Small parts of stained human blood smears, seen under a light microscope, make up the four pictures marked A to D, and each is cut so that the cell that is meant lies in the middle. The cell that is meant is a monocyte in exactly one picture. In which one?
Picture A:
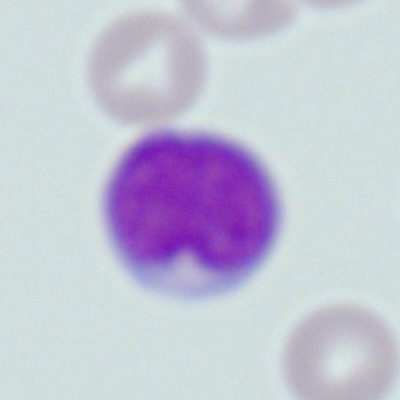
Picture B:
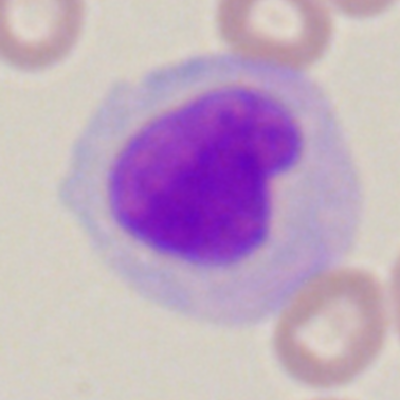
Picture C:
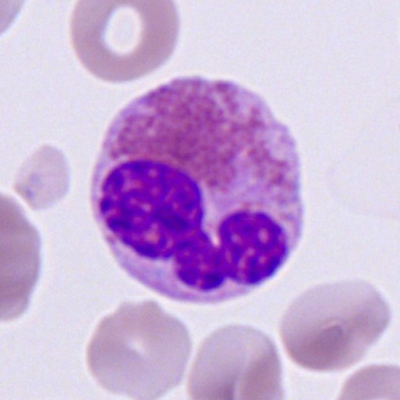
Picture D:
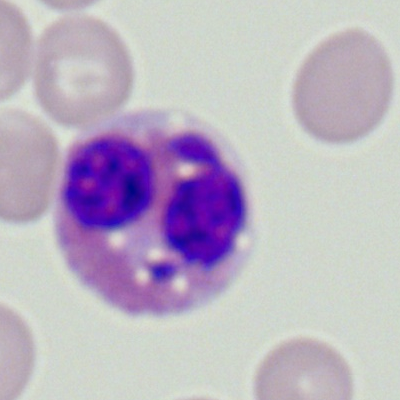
B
